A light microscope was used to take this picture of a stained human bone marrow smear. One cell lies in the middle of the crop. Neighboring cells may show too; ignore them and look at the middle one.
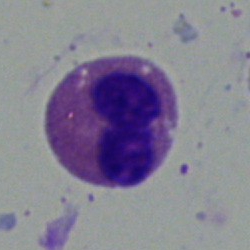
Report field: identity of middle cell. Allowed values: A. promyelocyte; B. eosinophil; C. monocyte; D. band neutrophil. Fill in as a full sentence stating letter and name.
Since the cell in the centre is an eosinophil, the correct option is B.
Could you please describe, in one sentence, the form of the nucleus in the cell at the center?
What stands out is the nucleus, split into two or more lobes.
